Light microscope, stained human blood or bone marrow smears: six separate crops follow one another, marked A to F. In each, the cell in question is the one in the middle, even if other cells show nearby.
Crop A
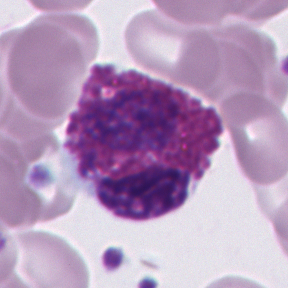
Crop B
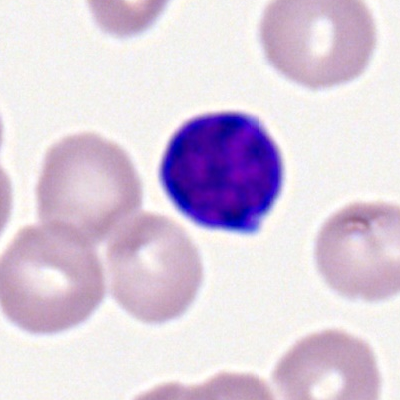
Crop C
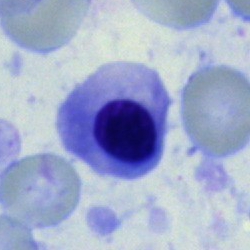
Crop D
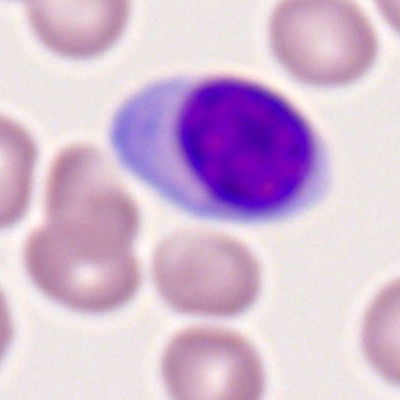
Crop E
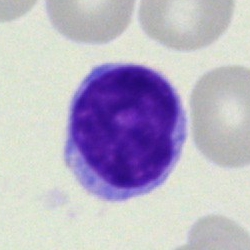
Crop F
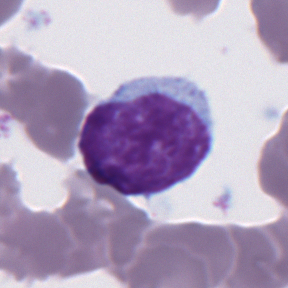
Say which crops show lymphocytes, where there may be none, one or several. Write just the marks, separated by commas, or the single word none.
B, D, E, F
